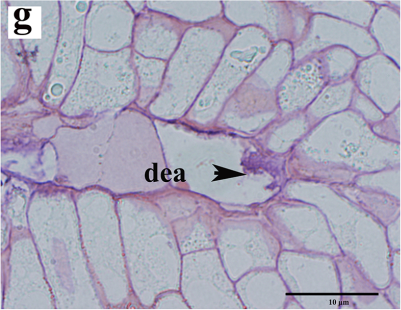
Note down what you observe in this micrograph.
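Large, polygonal cells with thin purple walls and clear, finely granular cytoplasm surround an elongated cavity running across the middle of the field. Within the cavity lies pale, faintly purple material, and at one end sits a small, dense, dark purple clump without clear cell outlines or distinct nuclei. This collapsed, darkly stained mass inside the embryo sac is the remnant of an egg apparatus that has degenerated, lying among the surrounding nucellus cells.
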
